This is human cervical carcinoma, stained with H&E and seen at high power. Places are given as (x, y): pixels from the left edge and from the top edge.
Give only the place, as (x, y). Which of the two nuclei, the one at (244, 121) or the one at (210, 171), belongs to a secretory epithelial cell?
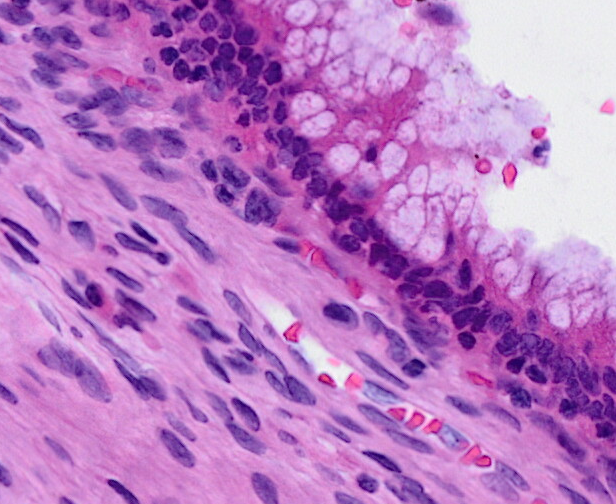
(244, 121)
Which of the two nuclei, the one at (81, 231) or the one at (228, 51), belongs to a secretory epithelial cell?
(228, 51)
